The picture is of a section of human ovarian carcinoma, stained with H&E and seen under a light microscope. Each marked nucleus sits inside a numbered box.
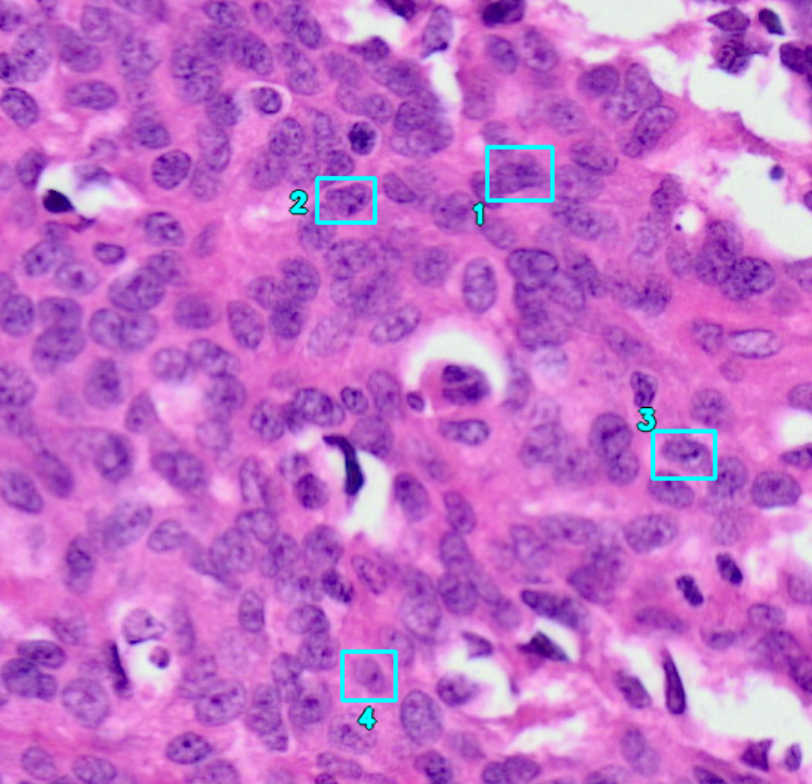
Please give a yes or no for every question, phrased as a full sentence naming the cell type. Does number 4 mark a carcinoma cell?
Yes, the cell bearing the number 4 is a carcinoma cell.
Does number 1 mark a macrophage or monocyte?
No. Cell number 1 is a carcinoma cell, not a macrophage or monocyte.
